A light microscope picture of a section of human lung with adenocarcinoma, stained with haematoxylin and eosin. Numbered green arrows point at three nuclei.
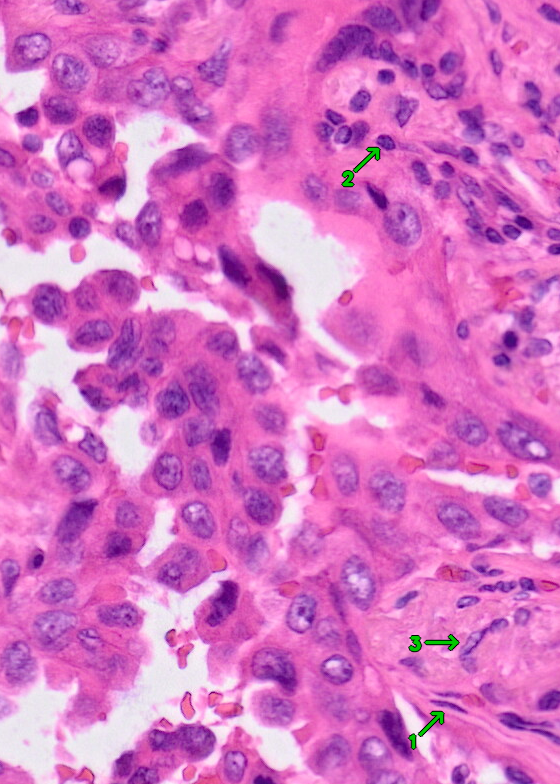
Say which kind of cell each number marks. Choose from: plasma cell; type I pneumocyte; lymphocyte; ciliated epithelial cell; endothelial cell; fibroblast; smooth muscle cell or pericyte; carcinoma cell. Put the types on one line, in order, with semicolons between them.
fibroblast; lymphocyte; fibroblast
